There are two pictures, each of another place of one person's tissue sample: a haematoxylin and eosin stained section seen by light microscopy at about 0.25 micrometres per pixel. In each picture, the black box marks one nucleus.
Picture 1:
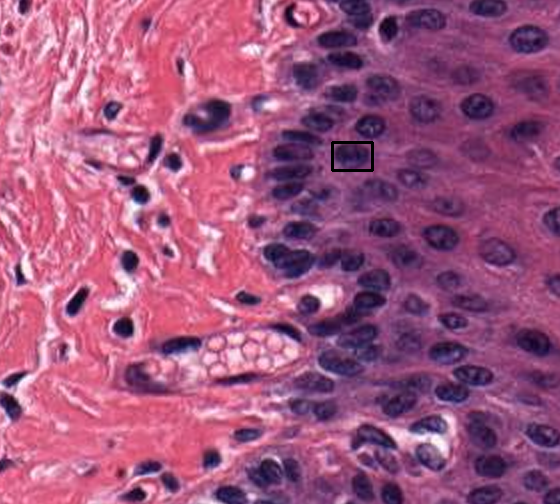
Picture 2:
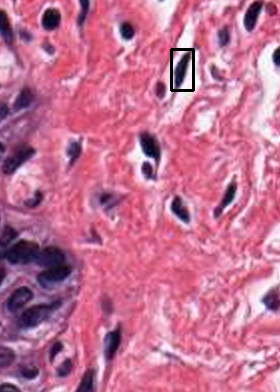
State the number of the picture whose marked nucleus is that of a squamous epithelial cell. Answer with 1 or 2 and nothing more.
1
